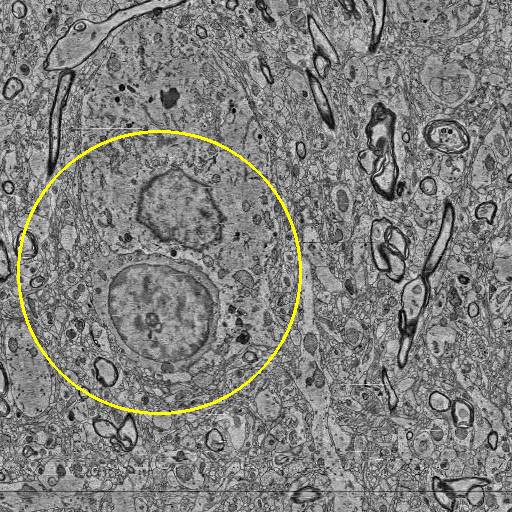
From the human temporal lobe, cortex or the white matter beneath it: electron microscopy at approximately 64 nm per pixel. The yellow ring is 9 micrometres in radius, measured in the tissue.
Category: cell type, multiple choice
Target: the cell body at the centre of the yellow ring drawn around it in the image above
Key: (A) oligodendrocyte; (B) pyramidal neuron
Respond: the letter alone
A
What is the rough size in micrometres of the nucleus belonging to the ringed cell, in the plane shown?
Approximately 7 micrometers across in this plane.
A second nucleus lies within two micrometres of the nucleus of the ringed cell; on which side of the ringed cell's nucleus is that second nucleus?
The other nucleus lies above it in the picture.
